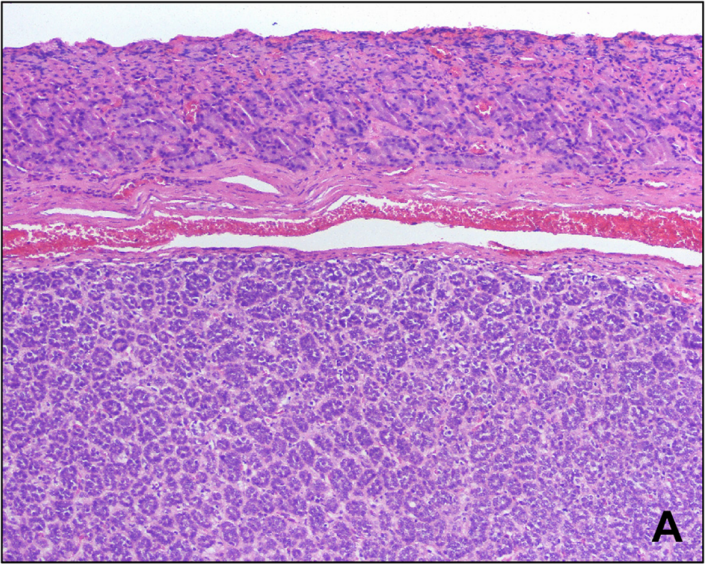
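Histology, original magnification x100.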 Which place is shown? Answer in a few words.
Beneath the gastric mucosa.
